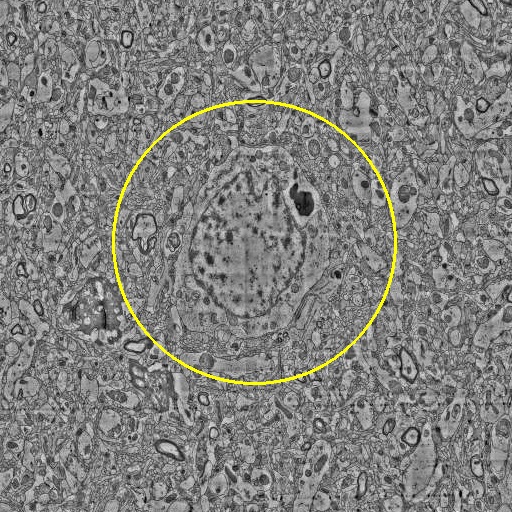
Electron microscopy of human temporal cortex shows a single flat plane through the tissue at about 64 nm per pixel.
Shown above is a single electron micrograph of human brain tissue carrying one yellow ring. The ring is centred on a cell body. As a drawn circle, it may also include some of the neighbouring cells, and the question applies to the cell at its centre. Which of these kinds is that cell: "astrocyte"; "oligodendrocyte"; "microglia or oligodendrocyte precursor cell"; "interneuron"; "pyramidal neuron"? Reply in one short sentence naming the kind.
The cell marked by the ring is an interneuron.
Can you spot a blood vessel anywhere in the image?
No, no vessel shows anywhere in the image.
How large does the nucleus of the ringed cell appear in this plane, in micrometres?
Approximately 10 x 7 micrometres in this plane.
